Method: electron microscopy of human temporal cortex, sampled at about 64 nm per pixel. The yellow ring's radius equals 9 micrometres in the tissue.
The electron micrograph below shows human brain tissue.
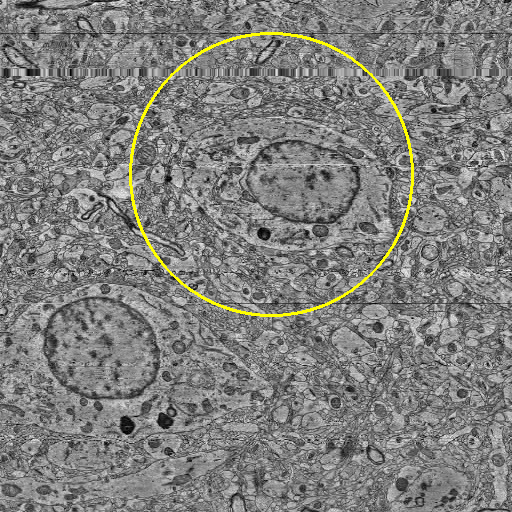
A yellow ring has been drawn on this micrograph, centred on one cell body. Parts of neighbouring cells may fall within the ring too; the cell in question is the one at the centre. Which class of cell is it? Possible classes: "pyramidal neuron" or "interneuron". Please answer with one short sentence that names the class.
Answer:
In the centre of the ring sits a pyramidal neuron.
